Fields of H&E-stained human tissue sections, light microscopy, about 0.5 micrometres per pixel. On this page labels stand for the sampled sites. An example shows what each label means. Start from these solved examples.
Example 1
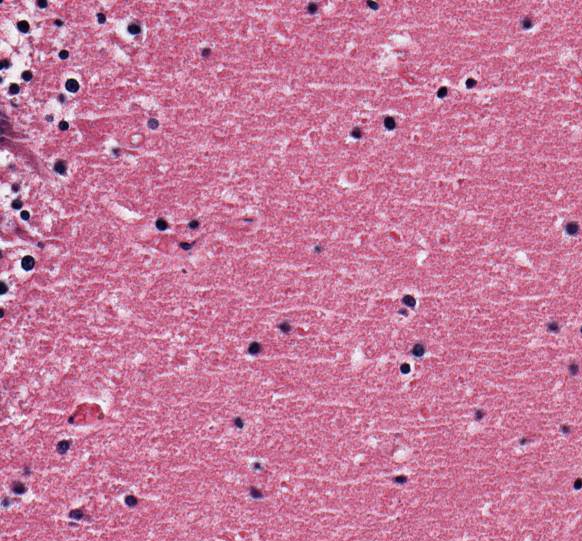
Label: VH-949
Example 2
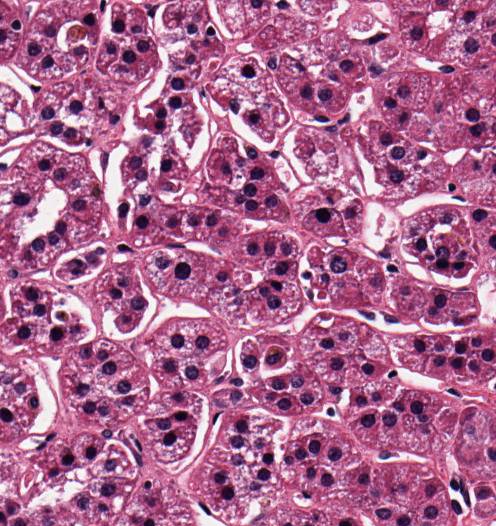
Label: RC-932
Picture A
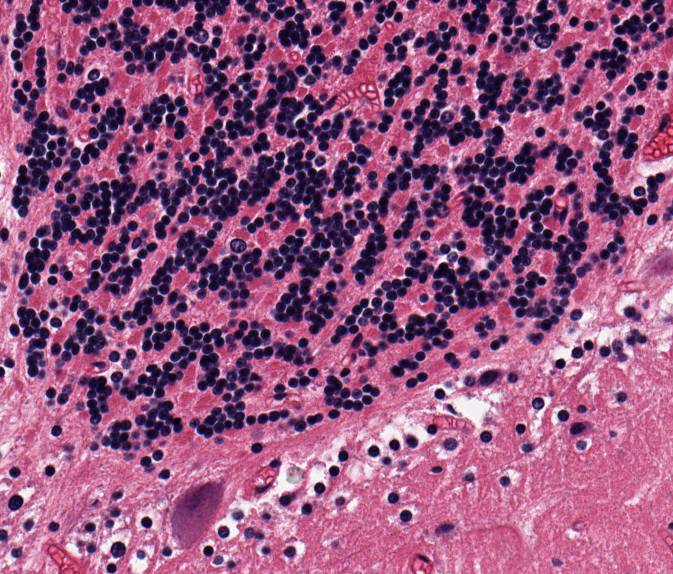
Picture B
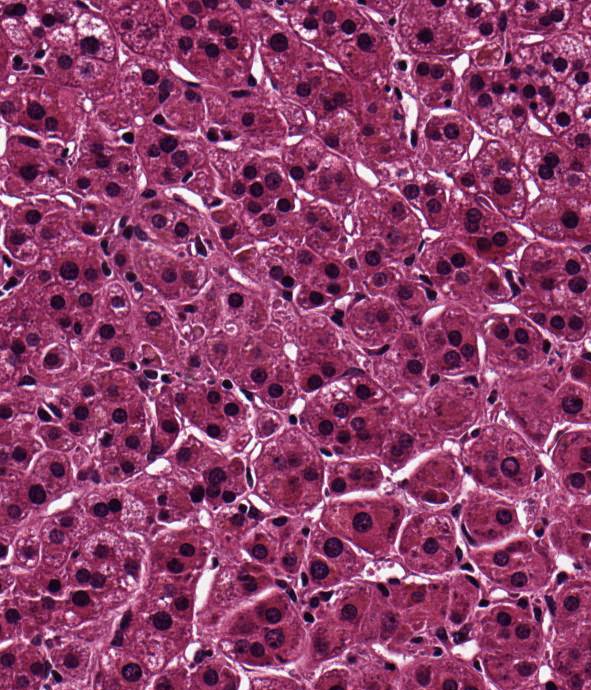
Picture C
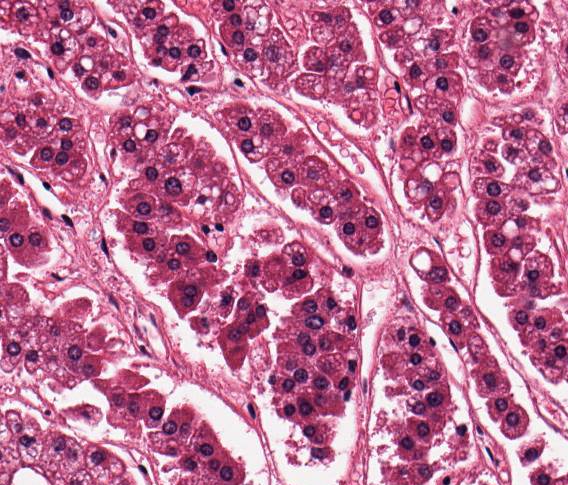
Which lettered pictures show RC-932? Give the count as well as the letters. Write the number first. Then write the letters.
Count: 2 (B, C)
